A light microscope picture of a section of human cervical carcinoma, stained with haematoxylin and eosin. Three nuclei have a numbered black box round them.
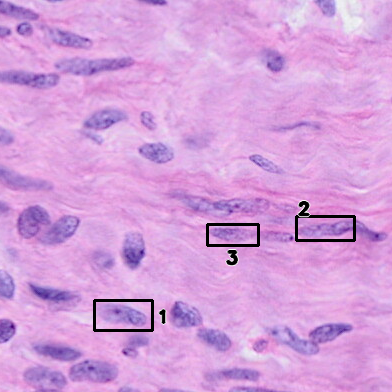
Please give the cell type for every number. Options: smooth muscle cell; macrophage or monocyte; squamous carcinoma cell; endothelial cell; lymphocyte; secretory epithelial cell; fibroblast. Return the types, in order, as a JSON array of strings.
["fibroblast", "smooth muscle cell", "smooth muscle cell"]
